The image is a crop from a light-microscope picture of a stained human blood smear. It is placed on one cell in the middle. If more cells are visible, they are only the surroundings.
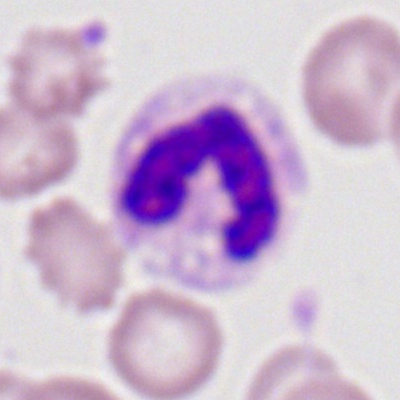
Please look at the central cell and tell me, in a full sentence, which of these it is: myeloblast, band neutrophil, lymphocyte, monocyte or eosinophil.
The cell nearest the centre of this crop is a band neutrophil.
